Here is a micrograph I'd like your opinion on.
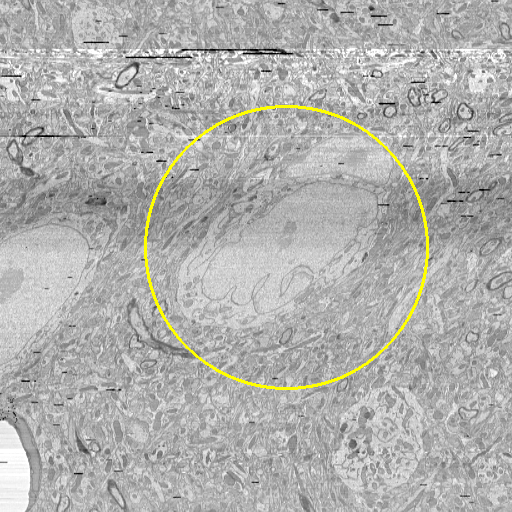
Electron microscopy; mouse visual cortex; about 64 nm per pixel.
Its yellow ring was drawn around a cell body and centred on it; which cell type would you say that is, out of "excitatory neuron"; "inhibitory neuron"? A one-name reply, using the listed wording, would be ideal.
inhibitory neuron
